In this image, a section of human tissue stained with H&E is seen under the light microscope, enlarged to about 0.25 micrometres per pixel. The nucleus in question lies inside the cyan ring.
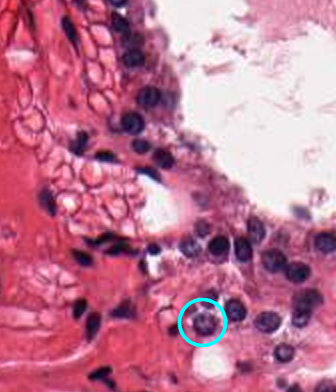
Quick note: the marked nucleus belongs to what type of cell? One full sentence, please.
Within the picture, the marked nucleus belongs to a thyroid follicular cell.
